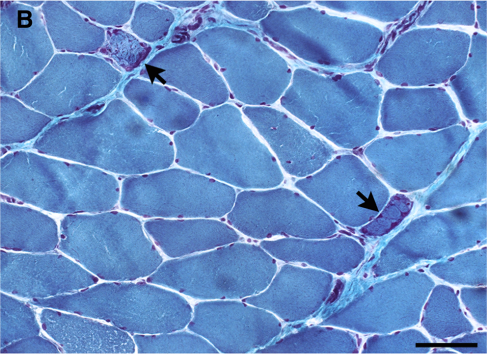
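Skeletal muscle in transverse section, with polygonal muscle fibres staining blue-green, small dark nuclei at the fibre edges and thin blue-green connective tissue between the fibres. Two fibres marked by arrows are smaller than their neighbours and contain granular reddish-purple material, the look of ragged red-like fibres.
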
